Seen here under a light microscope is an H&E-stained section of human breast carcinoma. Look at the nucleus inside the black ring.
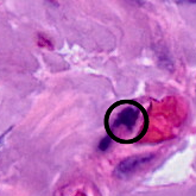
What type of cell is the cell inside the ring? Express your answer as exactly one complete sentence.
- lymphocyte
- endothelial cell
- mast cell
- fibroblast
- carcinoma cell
Placed in its cell category, the cell inside the ring is an endothelial cell.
